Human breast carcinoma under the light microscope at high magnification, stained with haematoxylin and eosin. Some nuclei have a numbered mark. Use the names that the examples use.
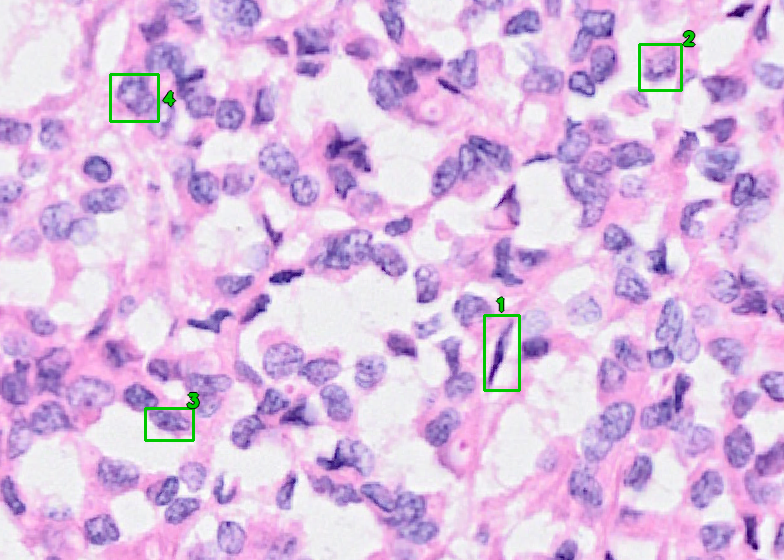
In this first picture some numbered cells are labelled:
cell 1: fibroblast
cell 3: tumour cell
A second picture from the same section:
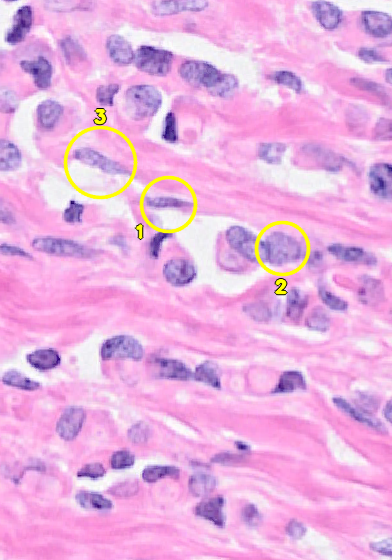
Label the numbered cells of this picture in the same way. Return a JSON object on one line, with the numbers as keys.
{"1": "fibroblast", "2": "tumour cell", "3": "fibroblast"}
